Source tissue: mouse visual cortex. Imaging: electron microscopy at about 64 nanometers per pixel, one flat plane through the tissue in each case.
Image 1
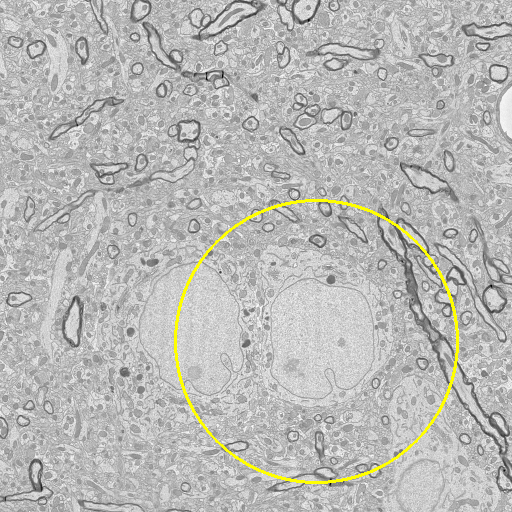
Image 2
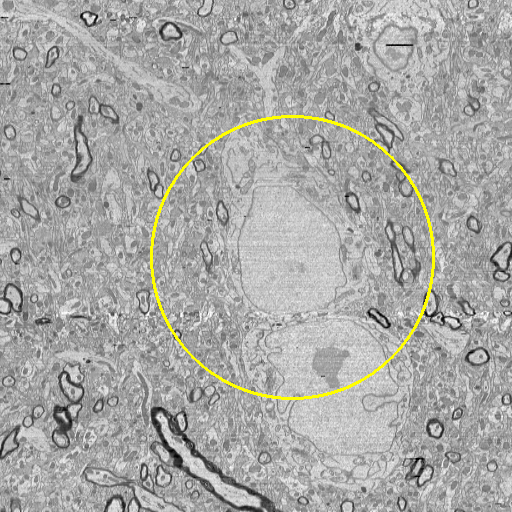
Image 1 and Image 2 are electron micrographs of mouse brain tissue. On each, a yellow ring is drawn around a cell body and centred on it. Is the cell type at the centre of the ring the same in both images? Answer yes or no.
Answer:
yes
